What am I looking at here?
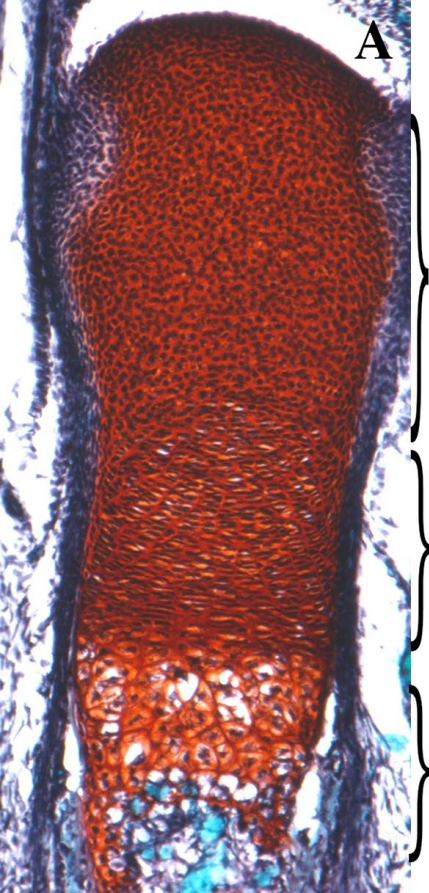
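A longitudinal section through the end of a developing long bone made of cartilage with orange-red matrix, wrapped in a dark bluish-purple layer of flattened cells. The rounded upper end is packed with small, evenly spread round chondrocytes. Further down, the cells become flattened and line up in parallel stacks across the width of the element. At the lower end the chondrocytes are much larger, with pale, clear cytoplasm in wide lacunae, and beneath them some blue-green-stained tissue begins.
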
